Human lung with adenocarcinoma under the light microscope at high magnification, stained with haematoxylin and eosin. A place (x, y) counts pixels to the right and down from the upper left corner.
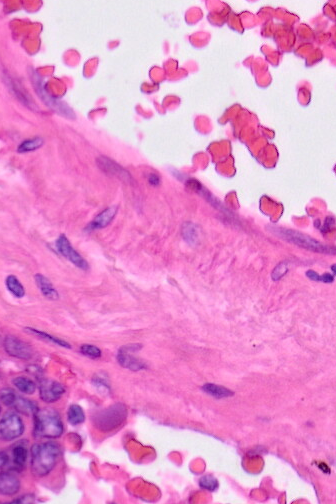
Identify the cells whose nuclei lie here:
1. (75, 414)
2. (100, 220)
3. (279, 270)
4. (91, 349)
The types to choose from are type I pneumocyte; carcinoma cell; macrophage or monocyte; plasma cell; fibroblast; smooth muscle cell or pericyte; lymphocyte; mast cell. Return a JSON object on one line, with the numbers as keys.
{"1": "lymphocyte", "2": "smooth muscle cell or pericyte", "3": "smooth muscle cell or pericyte", "4": "mast cell"}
